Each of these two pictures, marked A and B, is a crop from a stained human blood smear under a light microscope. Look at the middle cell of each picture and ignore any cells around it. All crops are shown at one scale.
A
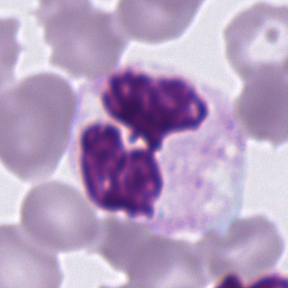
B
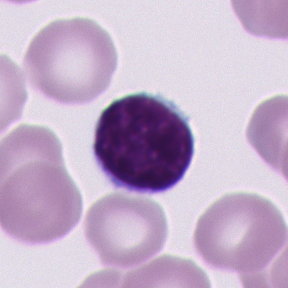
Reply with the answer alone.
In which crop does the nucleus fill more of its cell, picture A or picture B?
B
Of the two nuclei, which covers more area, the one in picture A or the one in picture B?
A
